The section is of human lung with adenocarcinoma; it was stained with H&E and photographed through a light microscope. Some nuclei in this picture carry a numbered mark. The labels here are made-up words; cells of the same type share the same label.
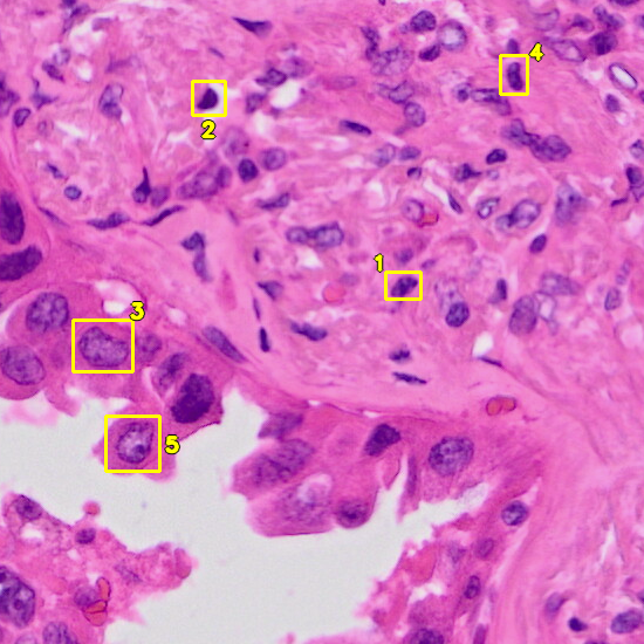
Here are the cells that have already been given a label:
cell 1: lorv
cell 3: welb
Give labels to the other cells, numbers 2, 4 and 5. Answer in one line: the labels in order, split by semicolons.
lorv; lorv; welb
